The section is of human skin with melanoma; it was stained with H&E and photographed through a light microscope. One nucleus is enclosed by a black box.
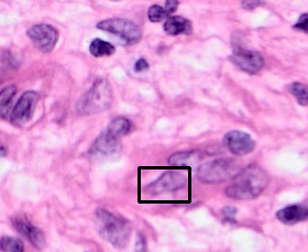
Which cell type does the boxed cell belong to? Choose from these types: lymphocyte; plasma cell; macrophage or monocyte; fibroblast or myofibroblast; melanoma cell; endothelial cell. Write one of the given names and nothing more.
endothelial cell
